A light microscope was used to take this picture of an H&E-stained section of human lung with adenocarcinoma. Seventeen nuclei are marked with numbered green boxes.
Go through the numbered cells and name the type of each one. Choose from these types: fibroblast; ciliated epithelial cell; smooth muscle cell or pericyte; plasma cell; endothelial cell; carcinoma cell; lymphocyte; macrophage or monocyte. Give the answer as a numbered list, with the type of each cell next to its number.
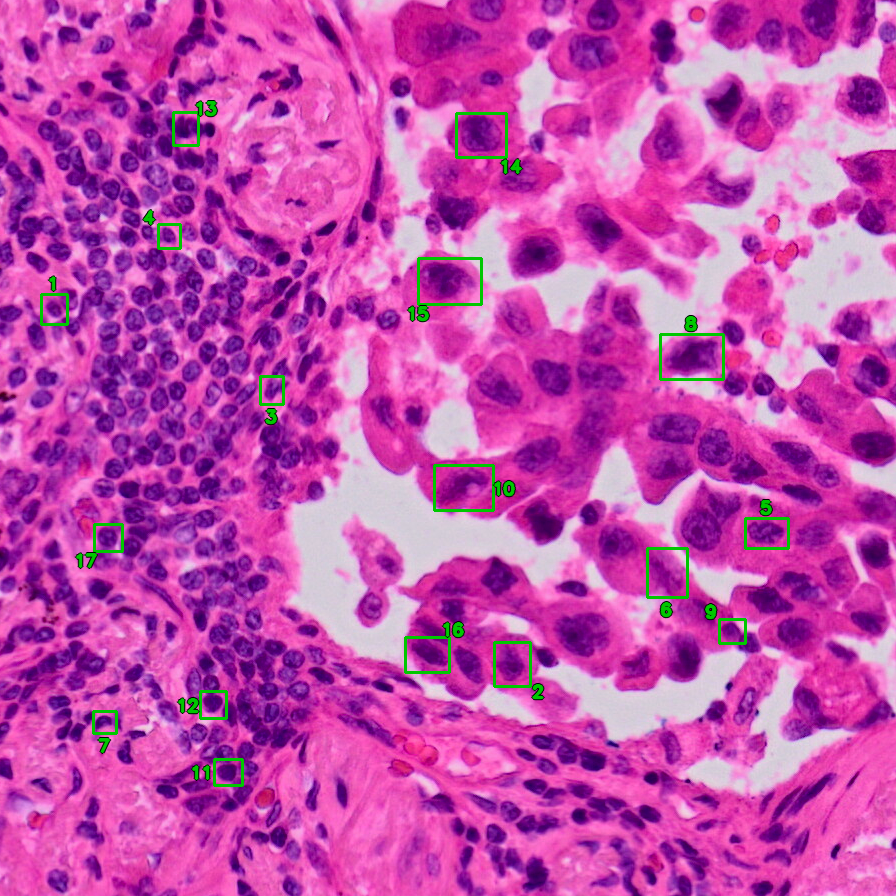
1. lymphocyte
2. carcinoma cell
3. lymphocyte
4. lymphocyte
5. carcinoma cell
6. carcinoma cell
7. lymphocyte
8. carcinoma cell
9. carcinoma cell
10. carcinoma cell
11. lymphocyte
12. lymphocyte
13. lymphocyte
14. carcinoma cell
15. carcinoma cell
16. carcinoma cell
17. lymphocyte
